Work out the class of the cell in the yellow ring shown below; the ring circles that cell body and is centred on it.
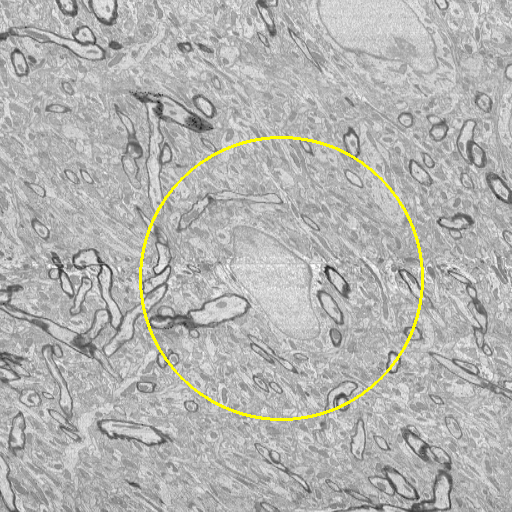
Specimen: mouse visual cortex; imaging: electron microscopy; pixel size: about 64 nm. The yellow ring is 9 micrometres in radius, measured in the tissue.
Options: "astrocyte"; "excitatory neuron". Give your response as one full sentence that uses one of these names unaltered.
The body ringed in yellow, right at the ring's centre, is that of an astrocyte.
